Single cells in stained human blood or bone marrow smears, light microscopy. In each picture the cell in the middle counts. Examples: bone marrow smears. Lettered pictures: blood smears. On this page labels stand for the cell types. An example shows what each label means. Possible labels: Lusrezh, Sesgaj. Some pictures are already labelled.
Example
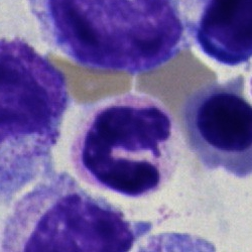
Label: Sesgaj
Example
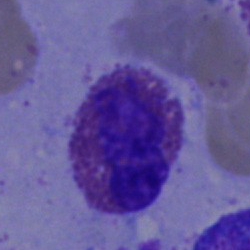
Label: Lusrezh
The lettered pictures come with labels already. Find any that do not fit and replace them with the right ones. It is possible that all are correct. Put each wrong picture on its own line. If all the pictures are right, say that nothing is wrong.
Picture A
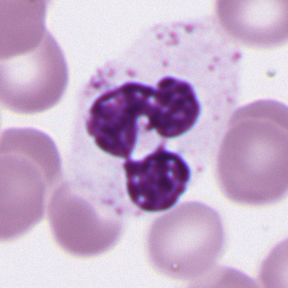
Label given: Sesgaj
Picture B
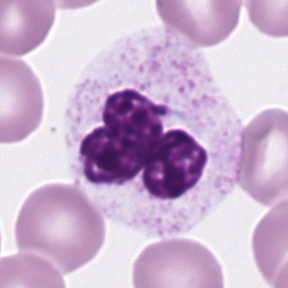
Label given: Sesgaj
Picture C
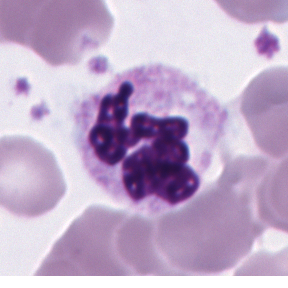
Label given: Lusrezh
C: change Lusrezh to Sesgaj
